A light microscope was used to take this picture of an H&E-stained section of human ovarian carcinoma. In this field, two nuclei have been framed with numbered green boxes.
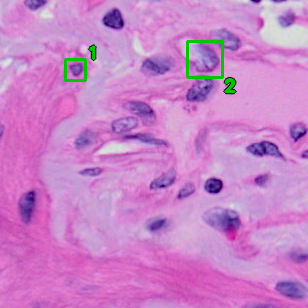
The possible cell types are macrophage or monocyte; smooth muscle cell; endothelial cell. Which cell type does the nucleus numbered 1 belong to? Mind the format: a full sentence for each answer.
The cell identified by the number 1 is a smooth muscle cell.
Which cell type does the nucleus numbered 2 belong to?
The numbered cell 2 is identified here as an endothelial cell.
